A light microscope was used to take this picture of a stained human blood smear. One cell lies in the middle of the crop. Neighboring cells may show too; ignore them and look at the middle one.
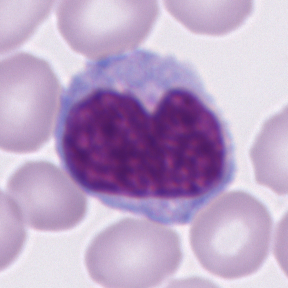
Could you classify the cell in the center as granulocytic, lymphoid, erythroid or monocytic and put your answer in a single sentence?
The cell in the middle comes from the monocytic lineage of blood cells.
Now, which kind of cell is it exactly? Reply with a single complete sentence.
The central cell, amid any neighbouring cells, is a monocyte.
